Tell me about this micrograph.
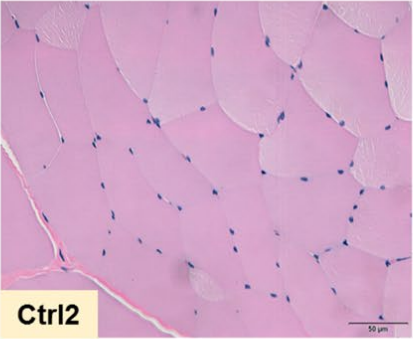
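Cross section of skeletal muscle fibers cut transversely, appearing as large, closely packed polygonal profiles with evenly pink cytoplasm. Nuclei are small, dark blue and flattened, lying at the edges of the fibers rather than in their centres. Neighbouring fibers are separated by very thin pale lines of endomysium. A thicker band of connective tissue runs along the lower left corner.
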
